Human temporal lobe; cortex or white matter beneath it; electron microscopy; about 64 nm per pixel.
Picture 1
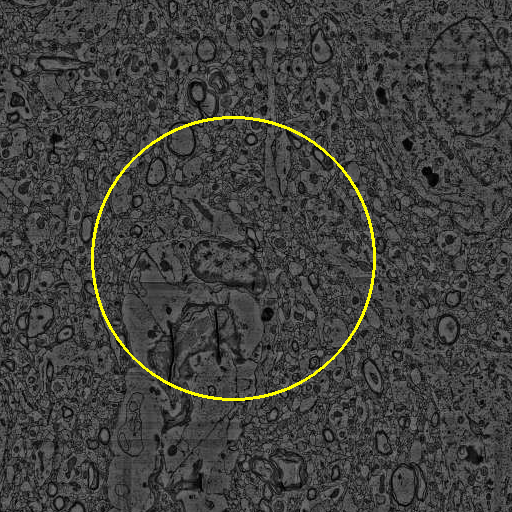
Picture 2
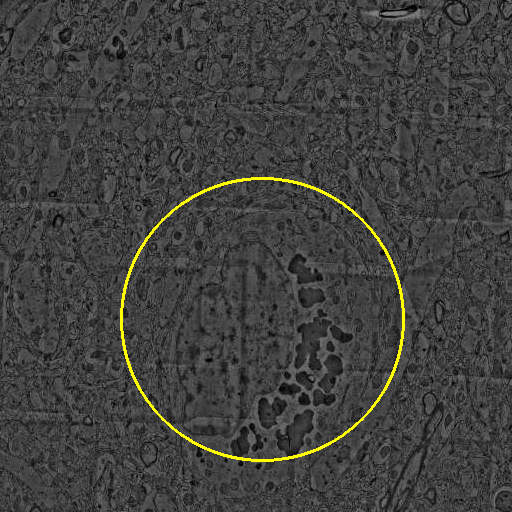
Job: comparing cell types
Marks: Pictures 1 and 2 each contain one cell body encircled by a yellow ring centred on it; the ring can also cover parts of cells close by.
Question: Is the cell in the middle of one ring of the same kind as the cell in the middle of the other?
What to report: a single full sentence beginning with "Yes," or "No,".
No, the cell at the ring centre in Picture 1 and its partner in Picture 2 are of two kinds.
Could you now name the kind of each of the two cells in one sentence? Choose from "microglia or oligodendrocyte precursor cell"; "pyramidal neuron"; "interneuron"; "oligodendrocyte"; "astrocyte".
The first ring encloses a microglial cell or oligodendrocyte precursor cell; the second ring encloses an interneuron.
